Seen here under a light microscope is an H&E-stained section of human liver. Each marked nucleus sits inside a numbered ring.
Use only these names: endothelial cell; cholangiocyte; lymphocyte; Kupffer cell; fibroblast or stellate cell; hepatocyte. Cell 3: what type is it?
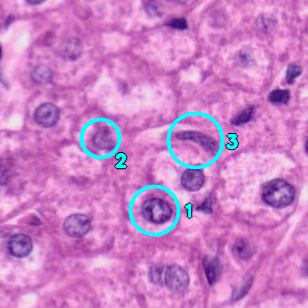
Kupffer cell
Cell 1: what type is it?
hepatocyte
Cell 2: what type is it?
hepatocyte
